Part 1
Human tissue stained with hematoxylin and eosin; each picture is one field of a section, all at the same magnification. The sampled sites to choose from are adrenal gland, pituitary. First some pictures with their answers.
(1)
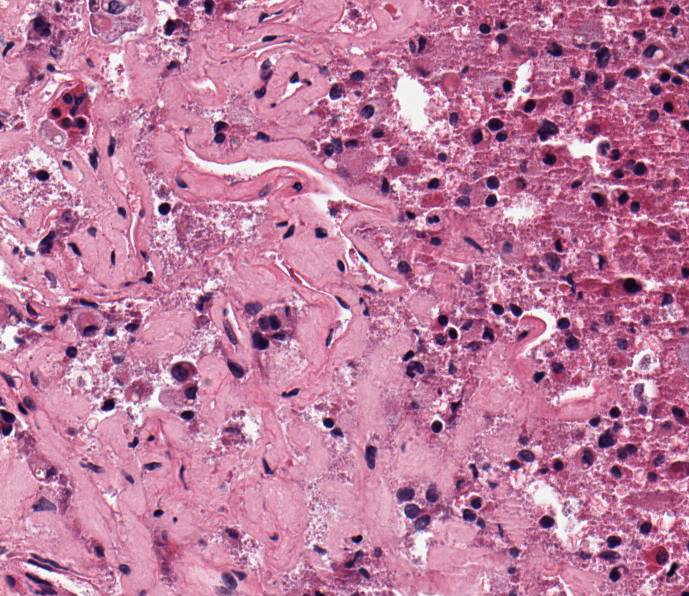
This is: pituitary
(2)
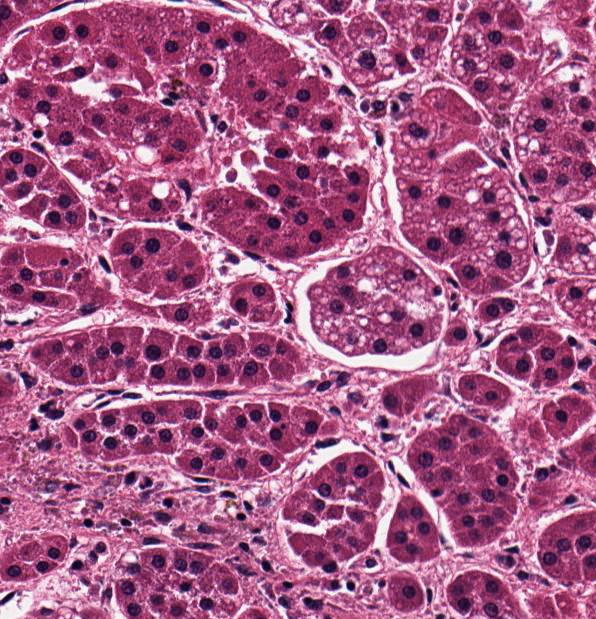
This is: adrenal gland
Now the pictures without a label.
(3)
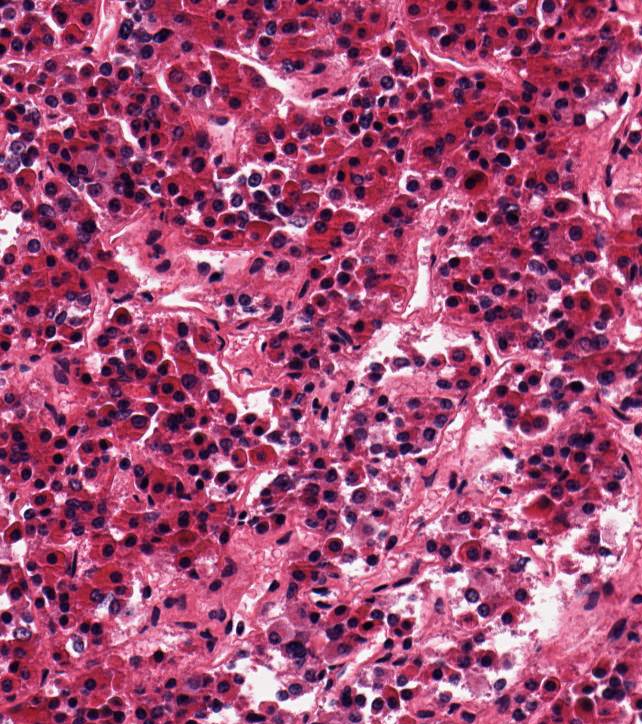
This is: pituitary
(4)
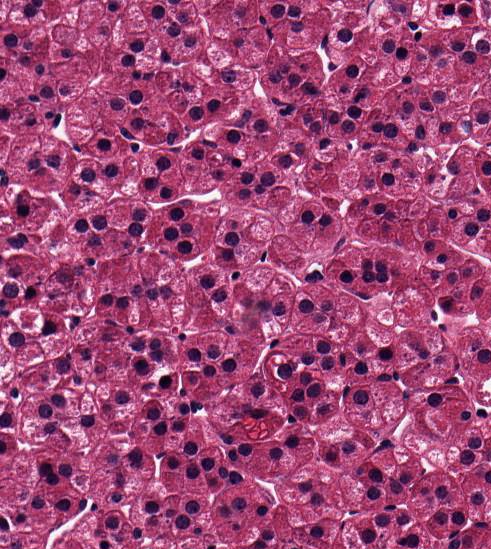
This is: adrenal gland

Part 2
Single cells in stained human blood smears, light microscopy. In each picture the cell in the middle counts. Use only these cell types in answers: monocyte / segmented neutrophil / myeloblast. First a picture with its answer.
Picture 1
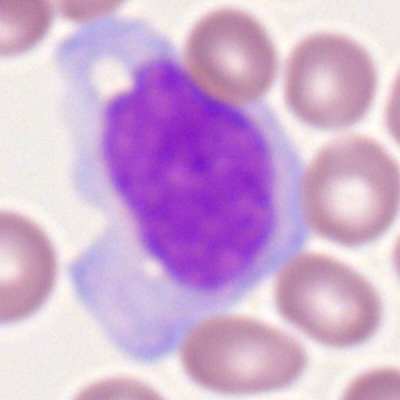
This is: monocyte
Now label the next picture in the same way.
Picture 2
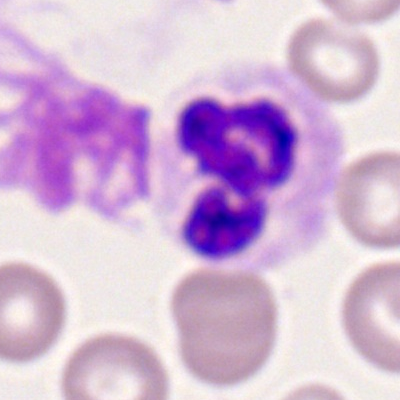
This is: segmented neutrophil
